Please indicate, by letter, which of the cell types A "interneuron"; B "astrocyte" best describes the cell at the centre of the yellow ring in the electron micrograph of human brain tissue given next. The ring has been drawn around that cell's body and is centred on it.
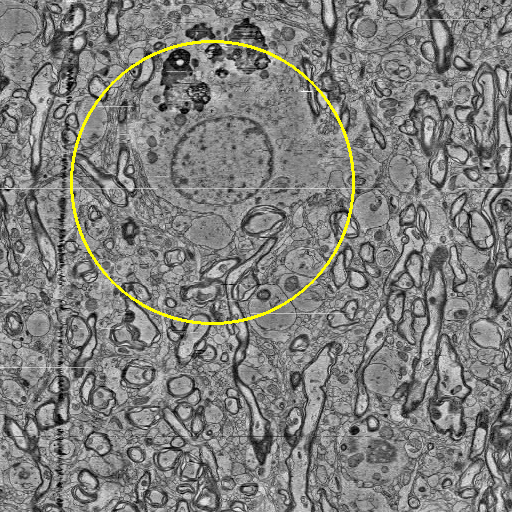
B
